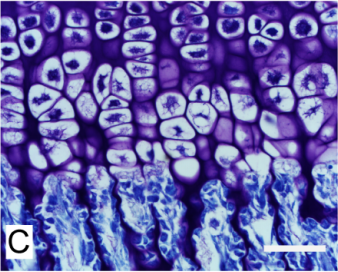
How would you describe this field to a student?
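This is the lower end of growth plate cartilage at the chondro-osseous junction, with hypertrophic chondrocytes arranged in vertical columns. The cells are large and rounded to polygonal, with pale, clear cytoplasm and small, dark, irregular nuclei, each enclosed in a lacuna separated by thin septa of deep purple matrix. At the bottom, pale blue-grey bony spicules with marrow between them extend upward between the cartilage columns, where the last row of large cells ends abruptly.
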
